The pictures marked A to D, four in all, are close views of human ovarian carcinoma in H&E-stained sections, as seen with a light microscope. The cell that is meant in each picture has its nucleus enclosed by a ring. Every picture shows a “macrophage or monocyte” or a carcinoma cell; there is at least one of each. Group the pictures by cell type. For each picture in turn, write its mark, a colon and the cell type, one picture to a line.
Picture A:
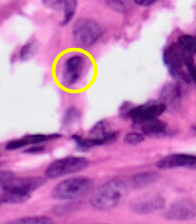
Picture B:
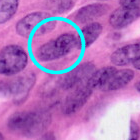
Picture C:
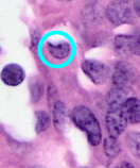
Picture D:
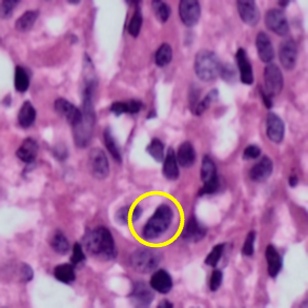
A: macrophage or monocyte
B: carcinoma cell
C: macrophage or monocyte
D: macrophage or monocyte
